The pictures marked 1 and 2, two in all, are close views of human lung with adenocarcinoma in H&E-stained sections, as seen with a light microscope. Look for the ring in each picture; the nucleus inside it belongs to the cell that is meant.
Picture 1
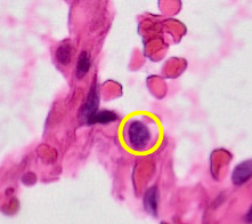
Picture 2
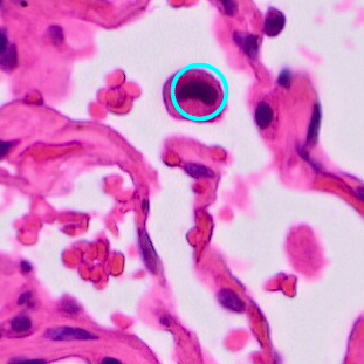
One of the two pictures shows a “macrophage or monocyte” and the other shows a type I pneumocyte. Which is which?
1: type I pneumocyte
2: macrophage or monocyte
